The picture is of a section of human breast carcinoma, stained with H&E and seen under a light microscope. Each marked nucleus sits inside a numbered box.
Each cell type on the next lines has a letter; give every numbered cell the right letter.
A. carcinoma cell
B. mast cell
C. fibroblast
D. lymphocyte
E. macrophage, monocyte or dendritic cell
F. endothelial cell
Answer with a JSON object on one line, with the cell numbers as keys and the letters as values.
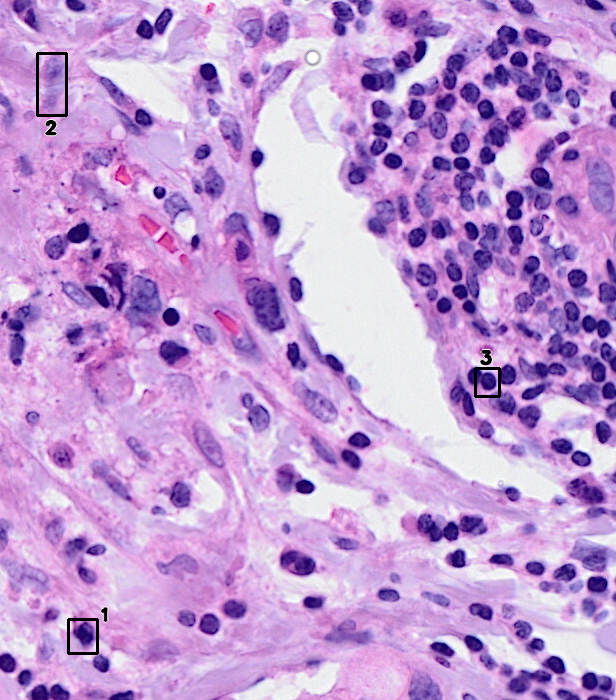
{"1": "D", "2": "C", "3": "D"}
